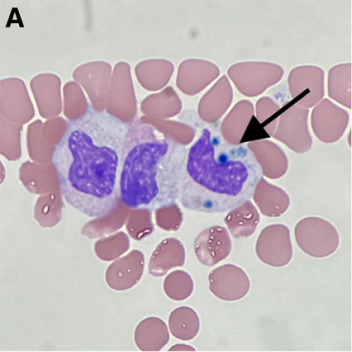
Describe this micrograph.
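This blood smear shows three white cells lying side by side among pink red cells, and the right-hand one is a neutrophil carrying green inclusions. Its nucleus is purple, curved and lobed, and in its pale grey-pink cytoplasm lie several small, sharply round blue-green dots, the inclusions. The neighbouring white cells have folded or band-like purple nuclei and pale cytoplasm without such dots. The red cells around are rounded, pink and without nuclei, crowded tightly at the top of the field.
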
